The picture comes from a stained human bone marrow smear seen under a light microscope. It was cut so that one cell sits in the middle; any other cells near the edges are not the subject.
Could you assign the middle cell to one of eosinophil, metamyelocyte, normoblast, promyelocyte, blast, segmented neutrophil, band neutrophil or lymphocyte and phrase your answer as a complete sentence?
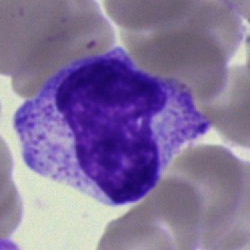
The middle of this crop holds a metamyelocyte.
